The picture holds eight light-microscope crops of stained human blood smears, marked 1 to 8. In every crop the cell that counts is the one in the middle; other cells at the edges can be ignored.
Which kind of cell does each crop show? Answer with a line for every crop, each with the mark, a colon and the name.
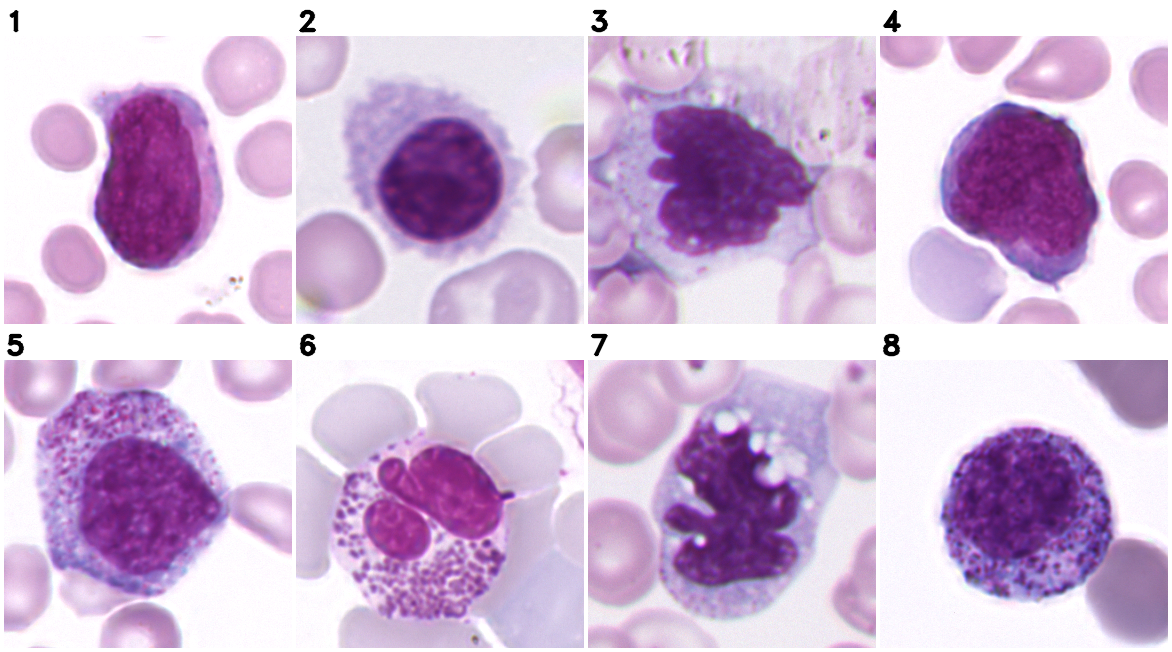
1: atypical promyelocyte
2: hairy cell
3: monocyte
4: atypical promyelocyte
5: promyelocyte
6: eosinophil
7: monocyte
8: promyelocyte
